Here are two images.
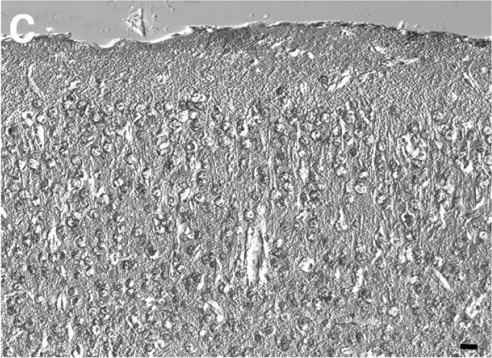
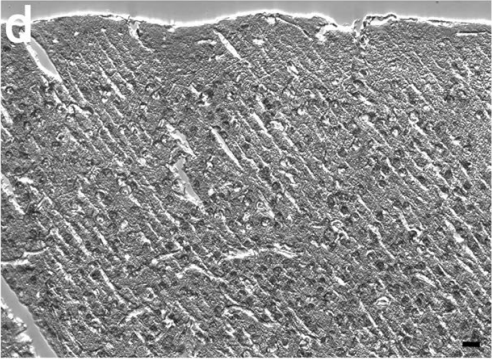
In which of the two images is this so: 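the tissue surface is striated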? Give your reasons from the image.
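Second image: parallel diagonal streaks run across the whole surface.
Hence: the second image.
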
